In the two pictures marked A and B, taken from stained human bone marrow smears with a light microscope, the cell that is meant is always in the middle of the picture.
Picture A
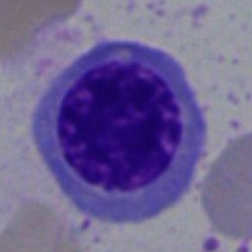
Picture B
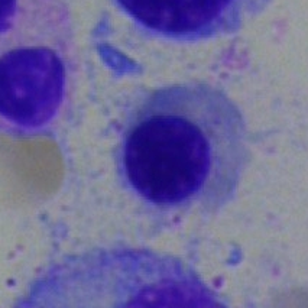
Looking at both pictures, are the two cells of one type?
yes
